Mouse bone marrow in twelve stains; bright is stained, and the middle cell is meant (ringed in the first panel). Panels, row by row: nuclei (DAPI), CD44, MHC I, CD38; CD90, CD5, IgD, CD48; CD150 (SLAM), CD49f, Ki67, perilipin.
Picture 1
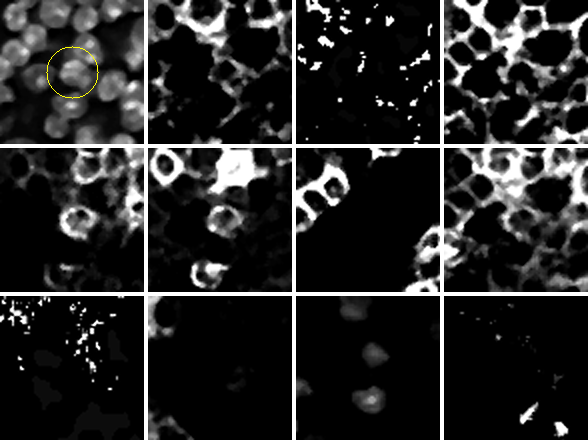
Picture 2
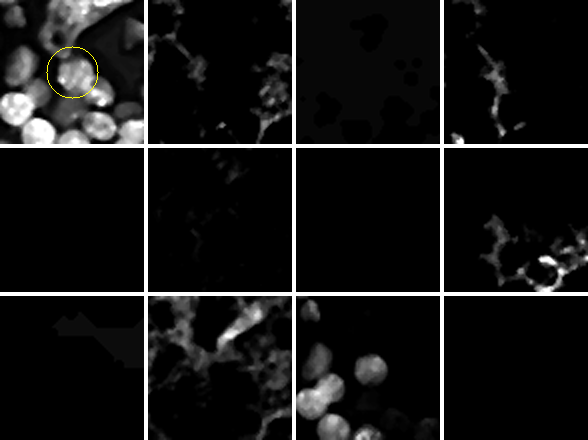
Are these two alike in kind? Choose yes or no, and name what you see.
No. First a T cell, second an erythroblast.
